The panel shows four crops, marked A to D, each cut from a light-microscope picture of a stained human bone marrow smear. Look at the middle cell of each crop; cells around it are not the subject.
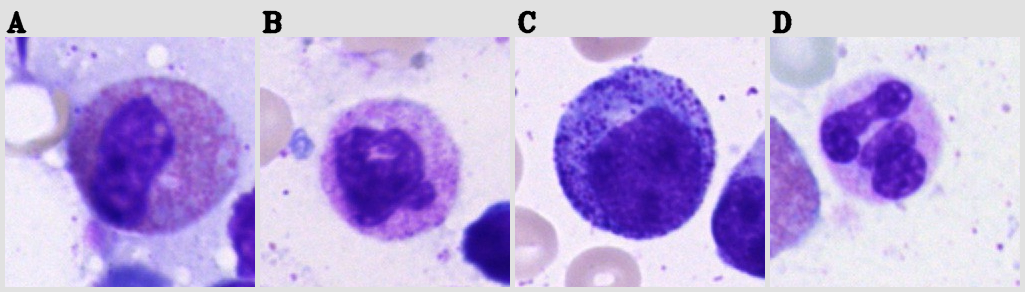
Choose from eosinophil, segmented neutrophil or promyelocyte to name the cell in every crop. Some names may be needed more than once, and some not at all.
A: eosinophil
B: segmented neutrophil
C: promyelocyte
D: segmented neutrophil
